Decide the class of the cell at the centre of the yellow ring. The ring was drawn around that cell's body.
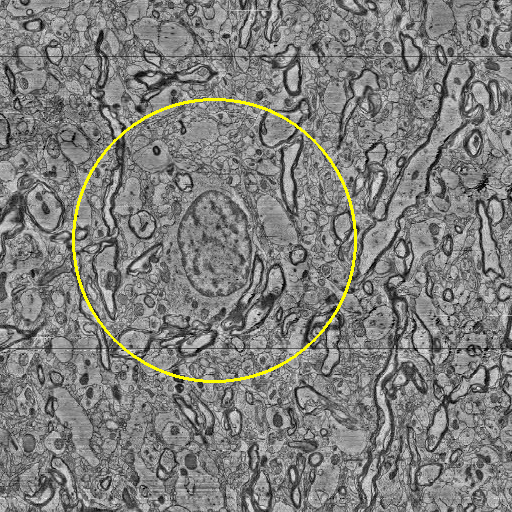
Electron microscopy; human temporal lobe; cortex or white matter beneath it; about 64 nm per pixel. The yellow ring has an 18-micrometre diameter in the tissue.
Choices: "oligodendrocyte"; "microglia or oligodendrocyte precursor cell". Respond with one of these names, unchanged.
oligodendrocyte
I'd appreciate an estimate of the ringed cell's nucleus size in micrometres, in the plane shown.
In this plane, the nucleus is roughly 7 by 5 micrometres.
